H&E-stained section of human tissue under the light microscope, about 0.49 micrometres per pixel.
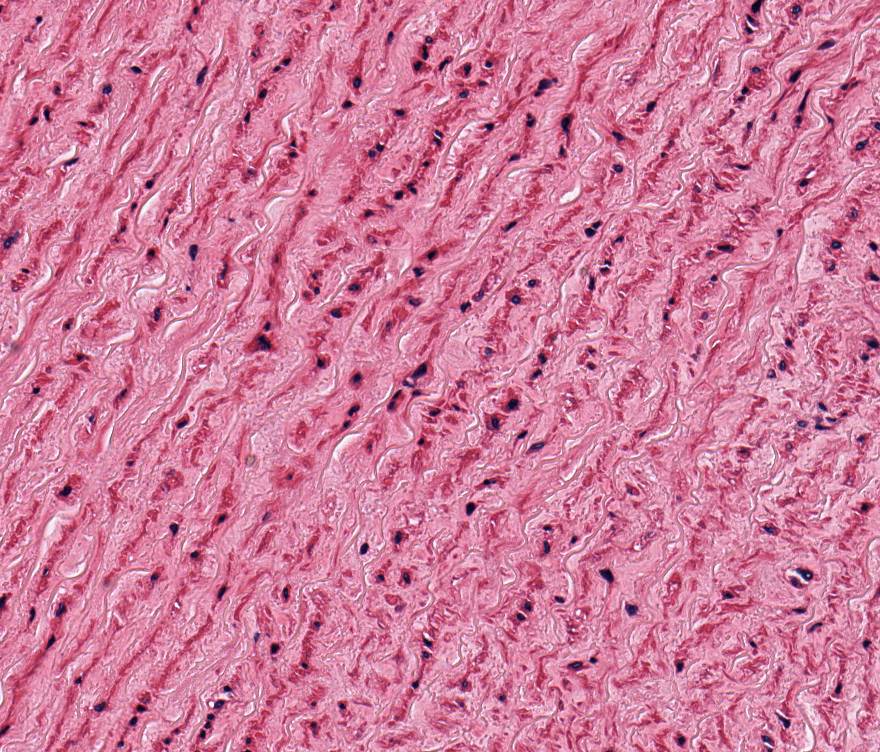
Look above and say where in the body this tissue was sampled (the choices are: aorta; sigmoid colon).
aorta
